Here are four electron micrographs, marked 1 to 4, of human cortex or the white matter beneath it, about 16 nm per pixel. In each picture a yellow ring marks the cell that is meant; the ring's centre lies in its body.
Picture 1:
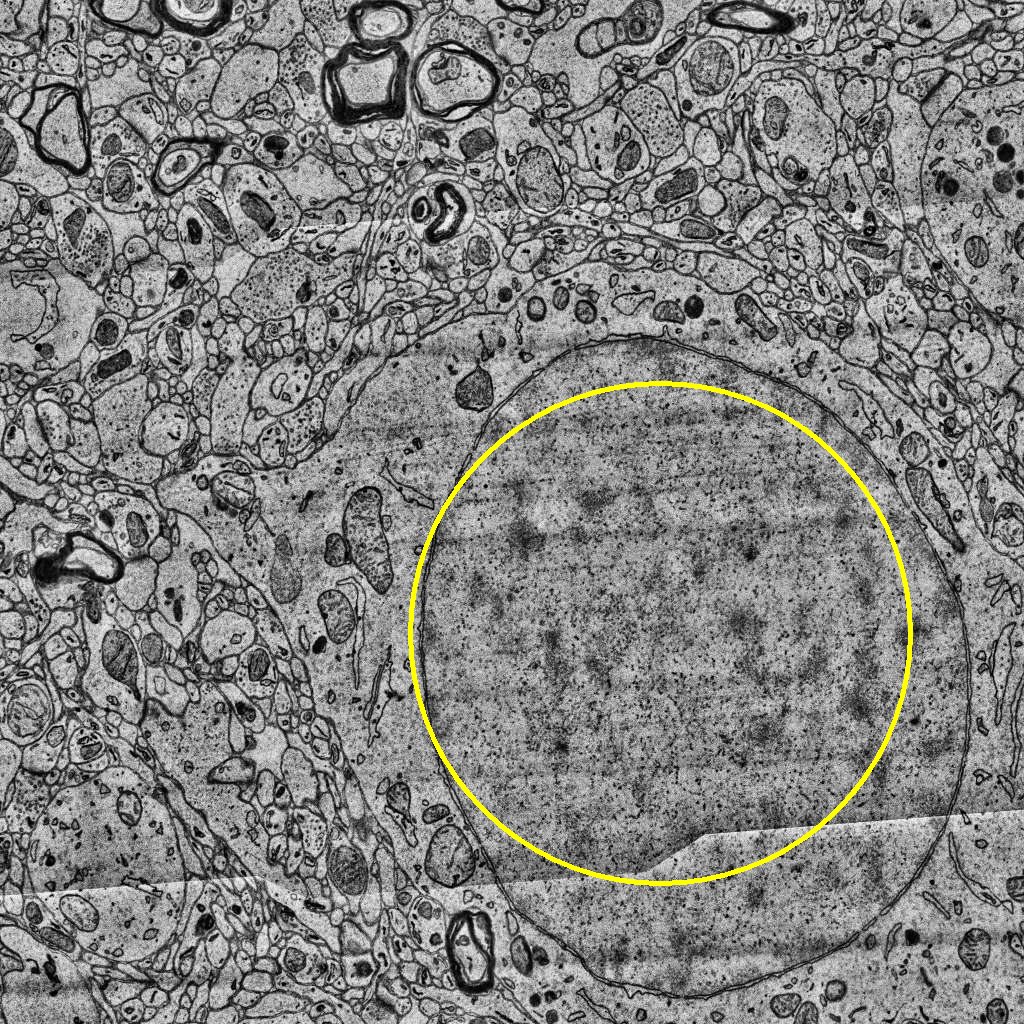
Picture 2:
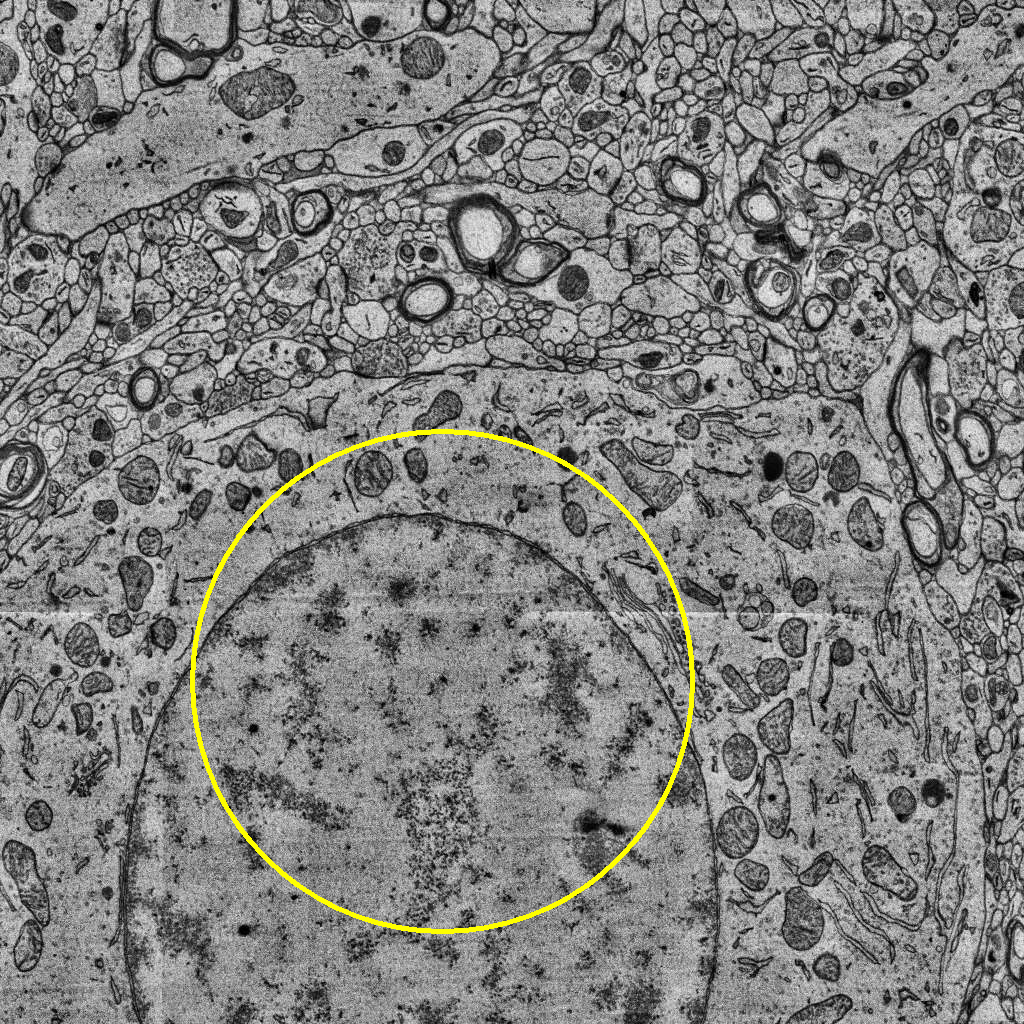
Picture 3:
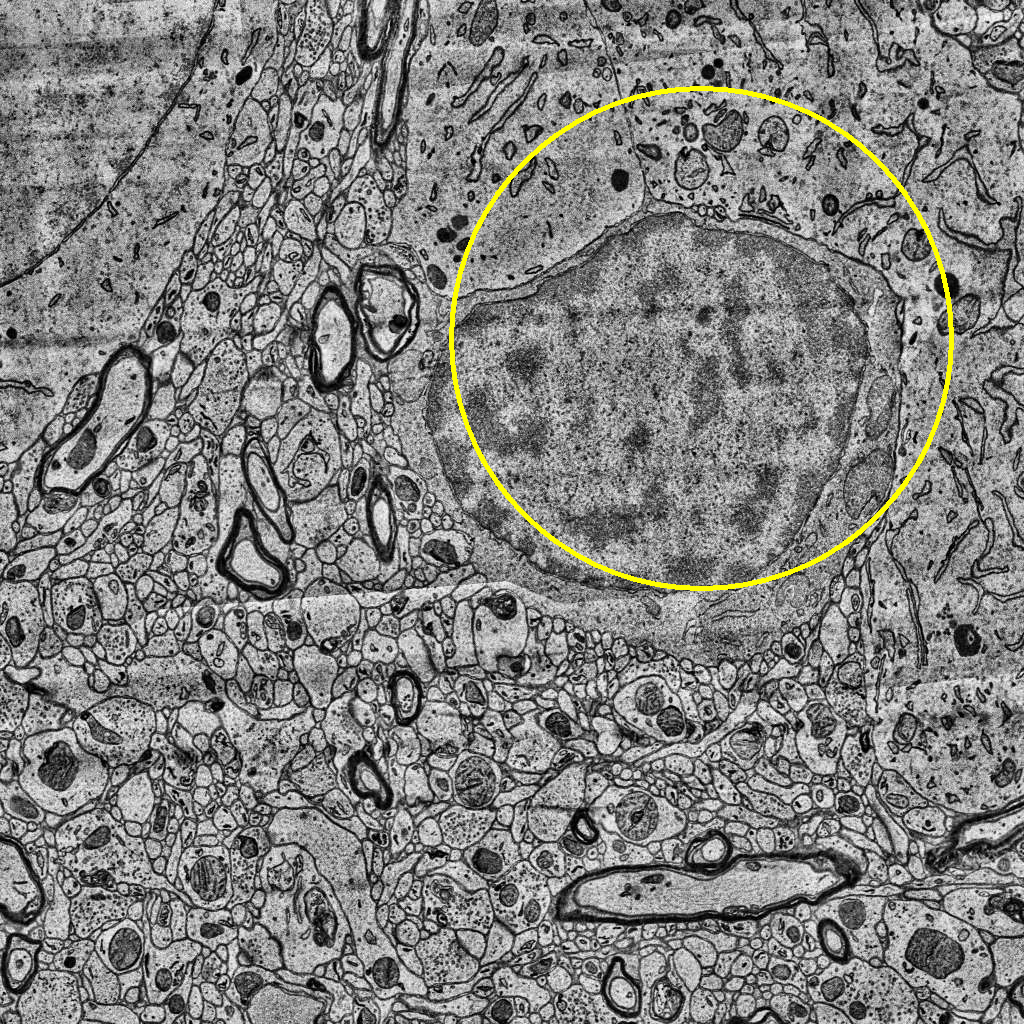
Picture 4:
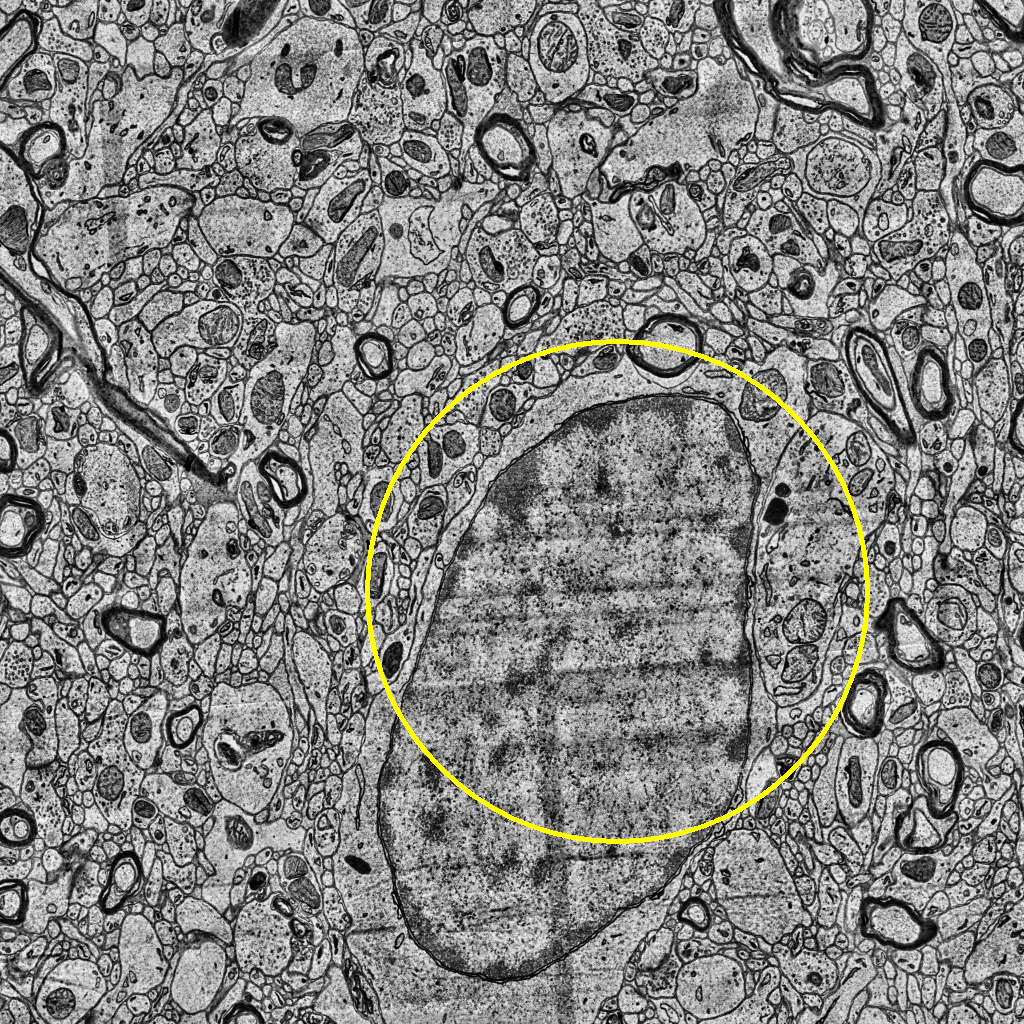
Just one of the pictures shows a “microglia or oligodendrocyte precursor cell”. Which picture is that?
Picture 4 is the one that shows the “microglia or oligodendrocyte precursor cell”.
